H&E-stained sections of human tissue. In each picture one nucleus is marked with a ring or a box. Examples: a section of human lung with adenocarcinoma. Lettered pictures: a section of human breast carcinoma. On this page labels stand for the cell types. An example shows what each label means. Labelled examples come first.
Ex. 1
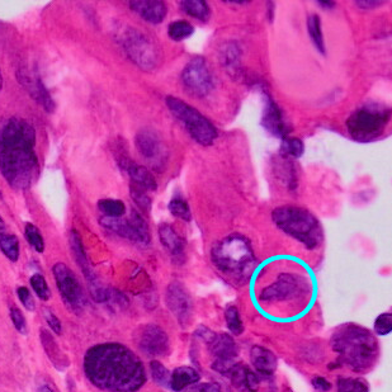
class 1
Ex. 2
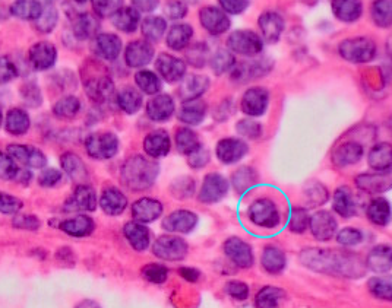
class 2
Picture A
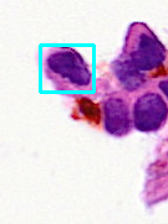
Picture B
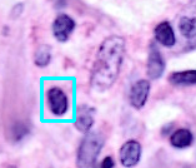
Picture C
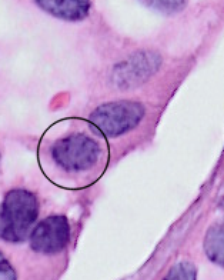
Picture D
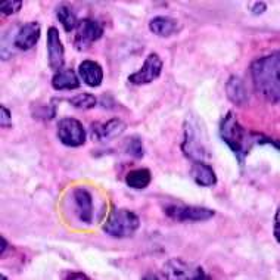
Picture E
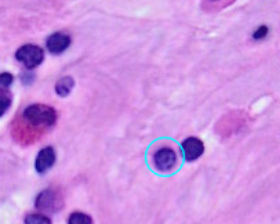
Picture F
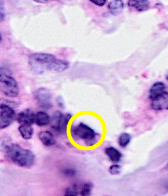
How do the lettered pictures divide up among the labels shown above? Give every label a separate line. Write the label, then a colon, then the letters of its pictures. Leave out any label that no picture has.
class 1: A, C
class 2: B, D, E, F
